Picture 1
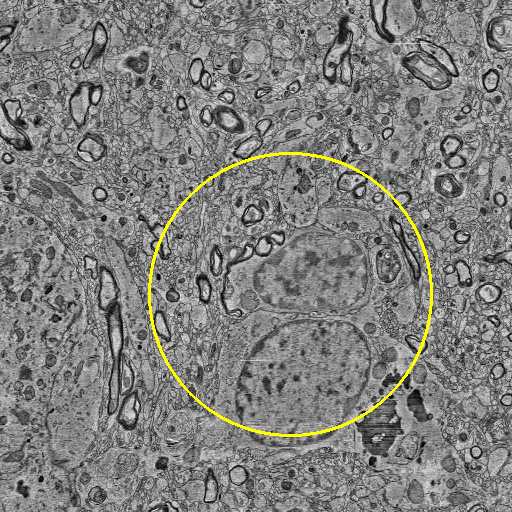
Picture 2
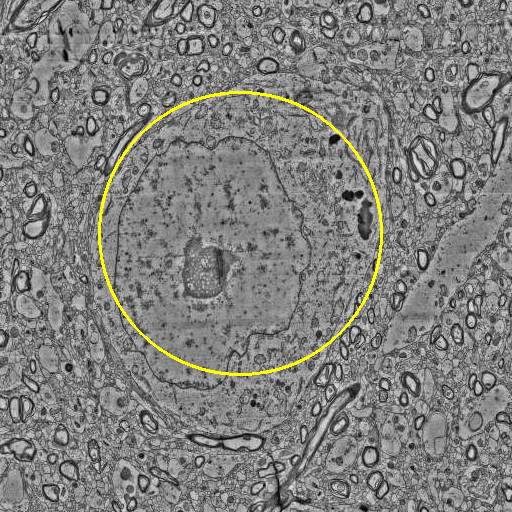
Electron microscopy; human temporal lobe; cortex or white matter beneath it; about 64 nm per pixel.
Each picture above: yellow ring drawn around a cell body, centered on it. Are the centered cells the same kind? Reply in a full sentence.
No, the two cells are two kinds of cell.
